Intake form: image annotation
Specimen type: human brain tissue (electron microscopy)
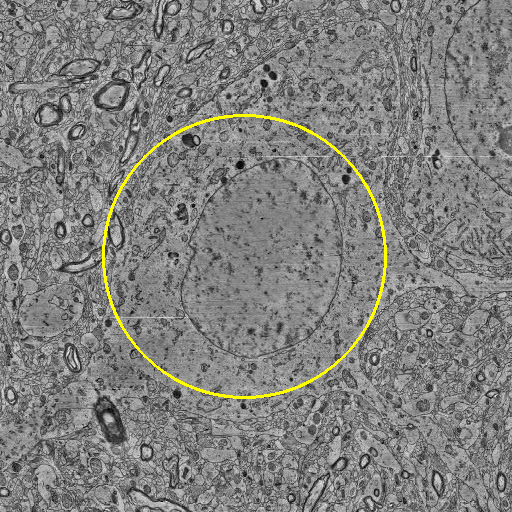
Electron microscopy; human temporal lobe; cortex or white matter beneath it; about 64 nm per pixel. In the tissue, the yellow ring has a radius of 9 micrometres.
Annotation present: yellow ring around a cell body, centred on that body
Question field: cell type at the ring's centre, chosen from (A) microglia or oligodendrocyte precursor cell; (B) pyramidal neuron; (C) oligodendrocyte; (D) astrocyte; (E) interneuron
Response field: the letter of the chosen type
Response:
B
